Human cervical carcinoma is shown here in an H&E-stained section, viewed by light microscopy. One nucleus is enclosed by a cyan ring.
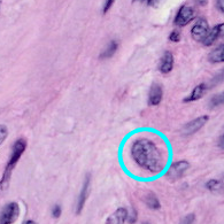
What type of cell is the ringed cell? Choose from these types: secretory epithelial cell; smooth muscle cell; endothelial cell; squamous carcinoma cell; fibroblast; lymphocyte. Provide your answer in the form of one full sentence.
Considered by cell type, the ringed cell is a smooth muscle cell.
